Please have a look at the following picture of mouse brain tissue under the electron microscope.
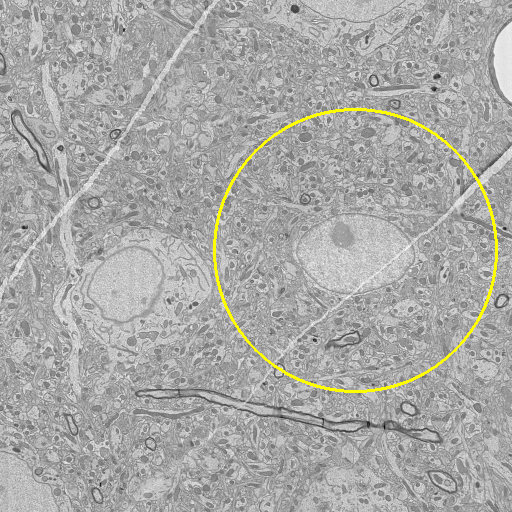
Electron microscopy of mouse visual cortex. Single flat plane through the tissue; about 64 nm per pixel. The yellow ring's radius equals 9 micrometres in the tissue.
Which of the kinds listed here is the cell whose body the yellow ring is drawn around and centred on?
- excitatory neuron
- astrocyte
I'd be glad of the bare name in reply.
astrocyte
